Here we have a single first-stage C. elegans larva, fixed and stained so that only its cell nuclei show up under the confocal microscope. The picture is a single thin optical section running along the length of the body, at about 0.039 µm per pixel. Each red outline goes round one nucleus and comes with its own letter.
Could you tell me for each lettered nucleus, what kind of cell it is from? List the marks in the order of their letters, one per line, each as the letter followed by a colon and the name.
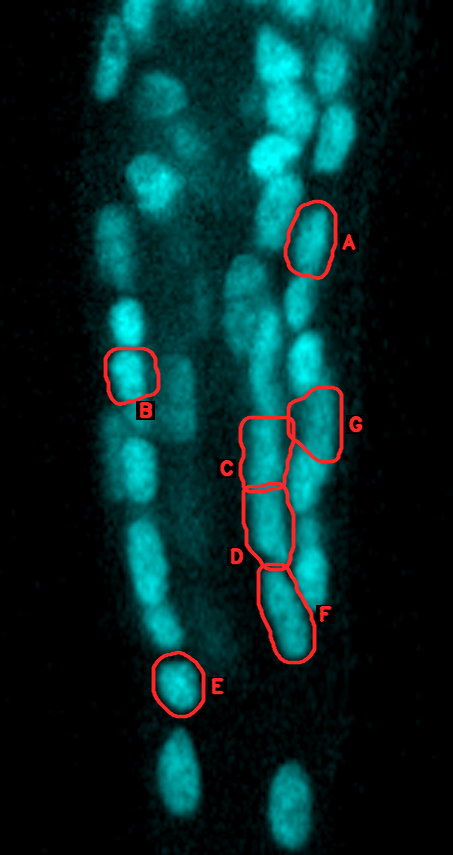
A: hypodermal cell (hyp)
B: glial cell (sheath or socket)
C: pharyngeal muscle cell
D: pharyngeal muscle cell
E: hypodermal cell (hyp)
F: pharyngeal epithelial cell
G: hypodermal cell (hyp)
